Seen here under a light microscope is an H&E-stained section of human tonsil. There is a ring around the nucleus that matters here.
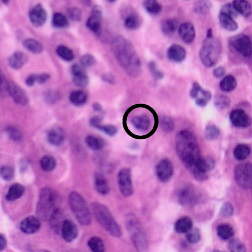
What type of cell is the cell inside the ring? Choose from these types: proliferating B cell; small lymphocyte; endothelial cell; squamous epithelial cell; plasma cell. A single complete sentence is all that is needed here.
To be brief about it, the cell inside the ring is a plasma cell.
